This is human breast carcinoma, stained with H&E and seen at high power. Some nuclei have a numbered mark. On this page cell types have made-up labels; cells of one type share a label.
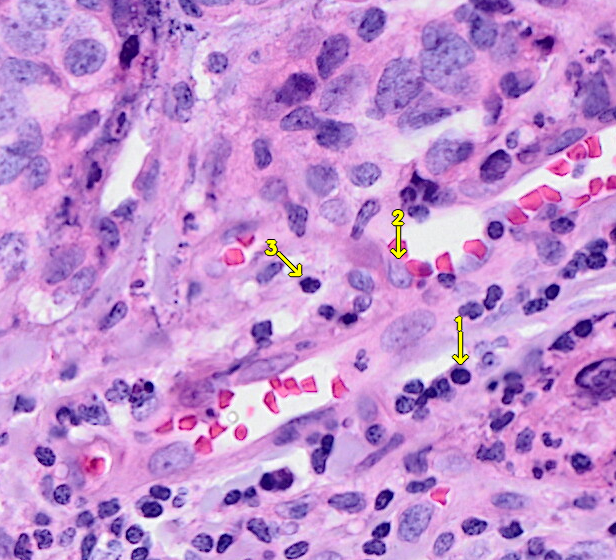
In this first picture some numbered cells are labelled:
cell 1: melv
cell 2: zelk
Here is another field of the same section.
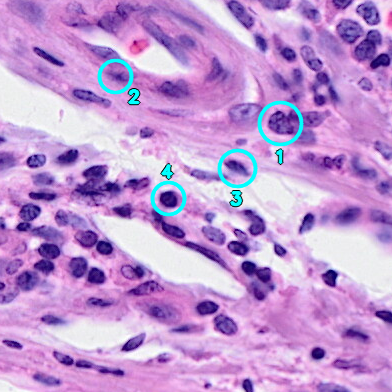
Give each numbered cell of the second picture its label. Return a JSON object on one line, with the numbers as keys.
{"1": "melv", "2": "zelk", "3": "melv", "4": "melv"}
